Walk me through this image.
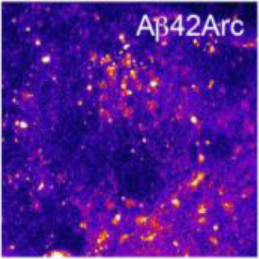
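The puncta, orange to yellow-white at their brightest, are scattered densely across the field and cluster in patches, particularly in the central and lower regions. Between them lies a diffuse purple background of weaker signal, with a darker, rounded zone near the middle where fewer puncta lie. Individual cell outlines are not clearly resolved; the pattern is dominated by the dotted signal across the tissue.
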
